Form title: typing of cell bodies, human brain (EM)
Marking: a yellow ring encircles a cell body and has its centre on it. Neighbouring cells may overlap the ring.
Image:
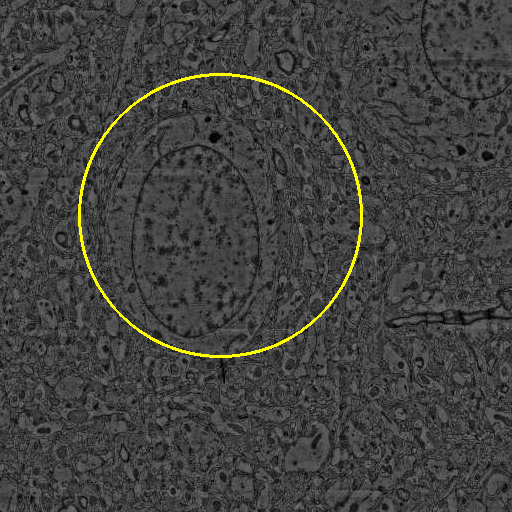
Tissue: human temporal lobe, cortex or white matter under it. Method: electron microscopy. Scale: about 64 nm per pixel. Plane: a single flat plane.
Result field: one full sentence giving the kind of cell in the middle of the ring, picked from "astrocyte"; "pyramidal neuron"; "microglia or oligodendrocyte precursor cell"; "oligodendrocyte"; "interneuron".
In the picture, the ring is centred on a pyramidal neuron, whose cell body it encircles.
